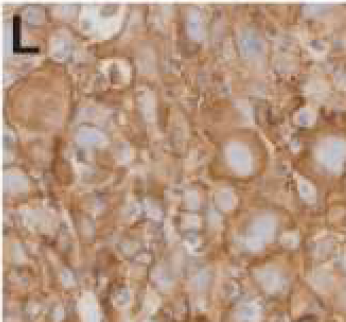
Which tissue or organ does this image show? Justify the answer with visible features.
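Sheets of large, closely packed polygonal cells. Large round nuclei varying in size. No orderly normal tissue architecture. So: tumors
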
